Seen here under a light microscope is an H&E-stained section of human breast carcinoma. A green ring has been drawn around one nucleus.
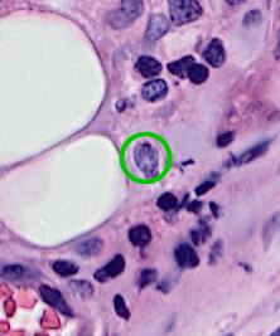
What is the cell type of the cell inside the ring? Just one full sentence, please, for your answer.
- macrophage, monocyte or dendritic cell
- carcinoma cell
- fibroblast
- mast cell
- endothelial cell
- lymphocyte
Within this tissue, the cell inside the ring is a macrophage, monocyte or dendritic cell.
